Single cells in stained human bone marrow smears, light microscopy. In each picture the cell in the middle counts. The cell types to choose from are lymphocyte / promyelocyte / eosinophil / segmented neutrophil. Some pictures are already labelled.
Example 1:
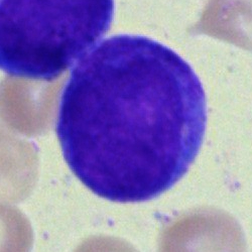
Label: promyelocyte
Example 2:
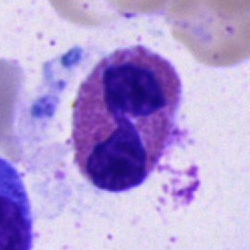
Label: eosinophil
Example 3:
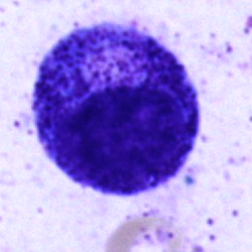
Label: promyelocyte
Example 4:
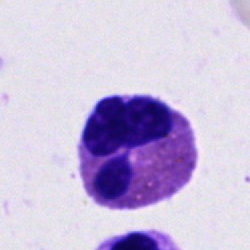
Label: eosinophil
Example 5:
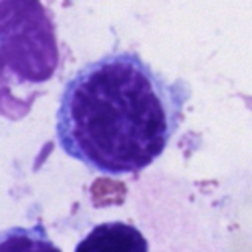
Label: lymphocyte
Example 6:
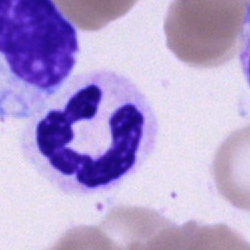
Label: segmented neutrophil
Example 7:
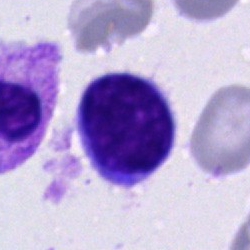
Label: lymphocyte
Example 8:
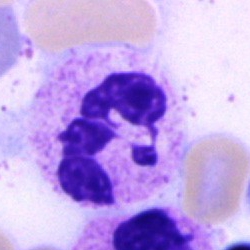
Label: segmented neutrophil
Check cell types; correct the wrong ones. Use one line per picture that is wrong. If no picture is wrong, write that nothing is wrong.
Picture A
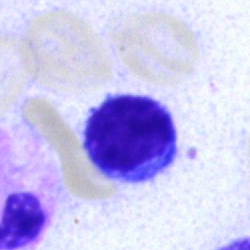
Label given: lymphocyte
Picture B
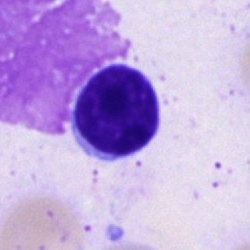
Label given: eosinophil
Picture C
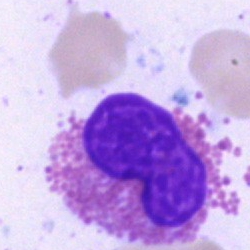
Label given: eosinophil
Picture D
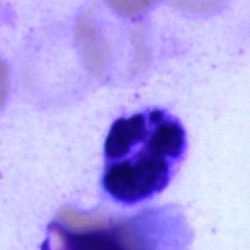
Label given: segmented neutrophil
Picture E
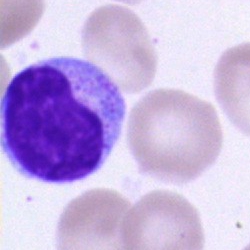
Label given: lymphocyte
B: not eosinophil but lymphocyte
